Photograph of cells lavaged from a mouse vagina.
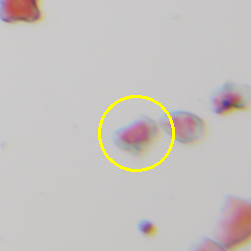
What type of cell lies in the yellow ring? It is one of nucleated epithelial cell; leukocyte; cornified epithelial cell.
The ringed cell is a nucleated epithelial cell.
